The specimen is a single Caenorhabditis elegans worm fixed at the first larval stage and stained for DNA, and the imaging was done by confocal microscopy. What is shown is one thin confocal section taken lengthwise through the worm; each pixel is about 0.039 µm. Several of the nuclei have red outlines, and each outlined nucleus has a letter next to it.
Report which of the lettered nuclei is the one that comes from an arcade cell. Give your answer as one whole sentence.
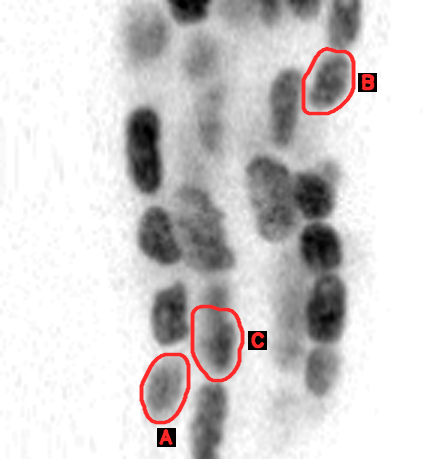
The one from an arcade cell is A.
